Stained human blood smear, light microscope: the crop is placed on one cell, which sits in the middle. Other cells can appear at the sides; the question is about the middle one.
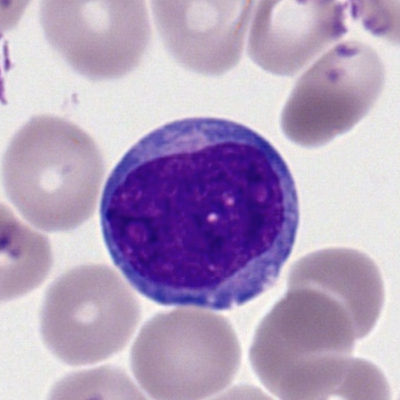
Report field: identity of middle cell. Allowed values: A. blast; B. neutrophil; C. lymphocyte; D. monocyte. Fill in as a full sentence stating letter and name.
The cell in the middle is a blast, and that makes option A correct.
